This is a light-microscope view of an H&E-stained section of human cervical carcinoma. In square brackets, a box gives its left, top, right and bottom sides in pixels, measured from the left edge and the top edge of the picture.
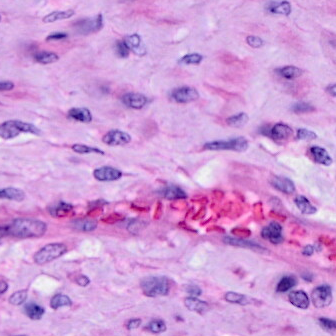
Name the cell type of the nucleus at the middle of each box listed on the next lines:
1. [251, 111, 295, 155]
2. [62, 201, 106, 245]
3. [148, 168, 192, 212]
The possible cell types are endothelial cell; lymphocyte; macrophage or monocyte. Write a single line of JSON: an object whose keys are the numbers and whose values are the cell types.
{"1": "macrophage or monocyte", "2": "endothelial cell", "3": "endothelial cell"}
